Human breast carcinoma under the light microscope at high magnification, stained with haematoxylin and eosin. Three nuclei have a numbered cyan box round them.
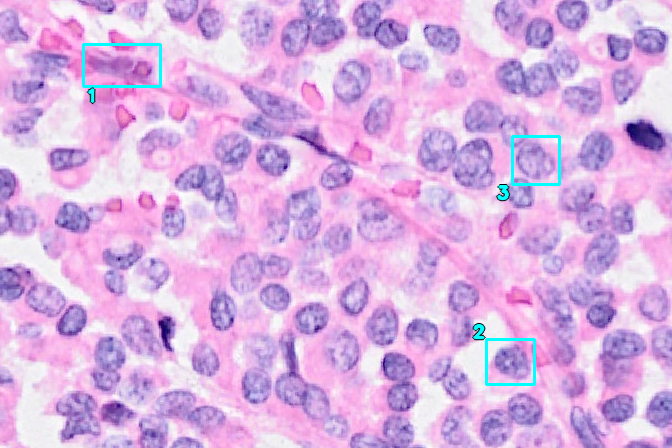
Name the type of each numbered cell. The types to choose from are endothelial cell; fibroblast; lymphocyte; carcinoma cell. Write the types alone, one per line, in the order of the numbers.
endothelial cell
carcinoma cell
carcinoma cell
